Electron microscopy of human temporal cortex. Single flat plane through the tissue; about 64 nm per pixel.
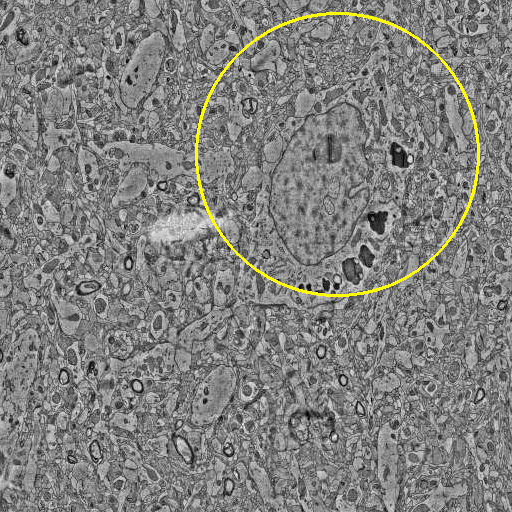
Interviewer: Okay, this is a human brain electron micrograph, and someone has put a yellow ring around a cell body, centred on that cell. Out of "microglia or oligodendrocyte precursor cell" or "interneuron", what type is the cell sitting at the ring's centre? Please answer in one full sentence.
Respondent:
The cell at the centre of the yellow ring in this picture is an interneuron.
